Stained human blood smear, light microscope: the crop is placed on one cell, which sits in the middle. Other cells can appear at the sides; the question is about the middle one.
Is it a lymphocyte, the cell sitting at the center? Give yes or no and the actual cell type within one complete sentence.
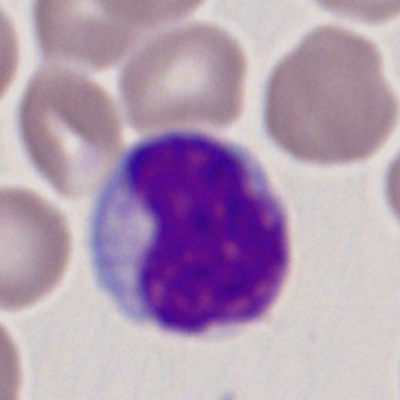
Yes, the cell at the center of the crop is a lymphocyte.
